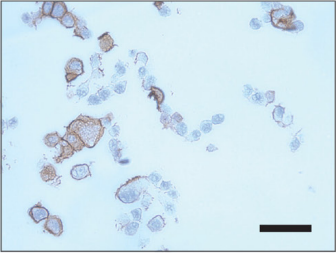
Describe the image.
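Many cells carry a strong brown stain concentrated at the cell border, outlining them like rings. Other cells next to them show only the blue counterstain.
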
